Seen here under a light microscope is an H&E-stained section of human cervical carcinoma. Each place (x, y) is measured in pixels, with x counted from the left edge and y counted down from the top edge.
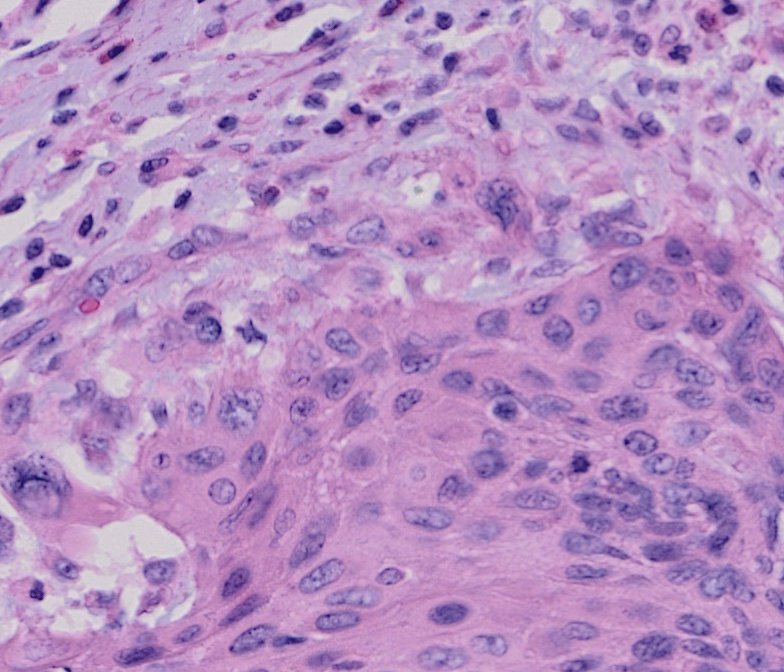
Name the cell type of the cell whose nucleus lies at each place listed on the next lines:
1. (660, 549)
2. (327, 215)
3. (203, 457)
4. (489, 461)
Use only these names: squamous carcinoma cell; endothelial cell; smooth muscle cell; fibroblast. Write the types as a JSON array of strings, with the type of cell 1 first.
["squamous carcinoma cell", "endothelial cell", "squamous carcinoma cell", "squamous carcinoma cell"]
